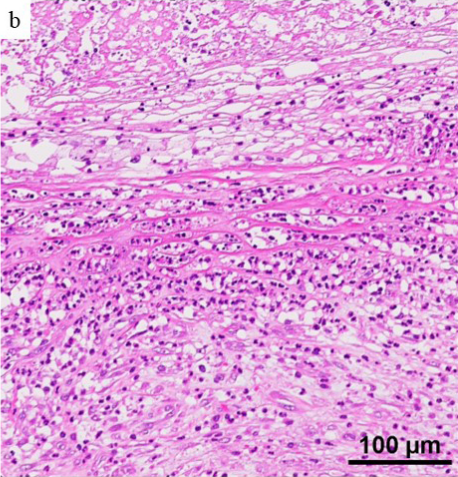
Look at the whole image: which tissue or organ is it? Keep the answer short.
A: fibrous connective tissue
